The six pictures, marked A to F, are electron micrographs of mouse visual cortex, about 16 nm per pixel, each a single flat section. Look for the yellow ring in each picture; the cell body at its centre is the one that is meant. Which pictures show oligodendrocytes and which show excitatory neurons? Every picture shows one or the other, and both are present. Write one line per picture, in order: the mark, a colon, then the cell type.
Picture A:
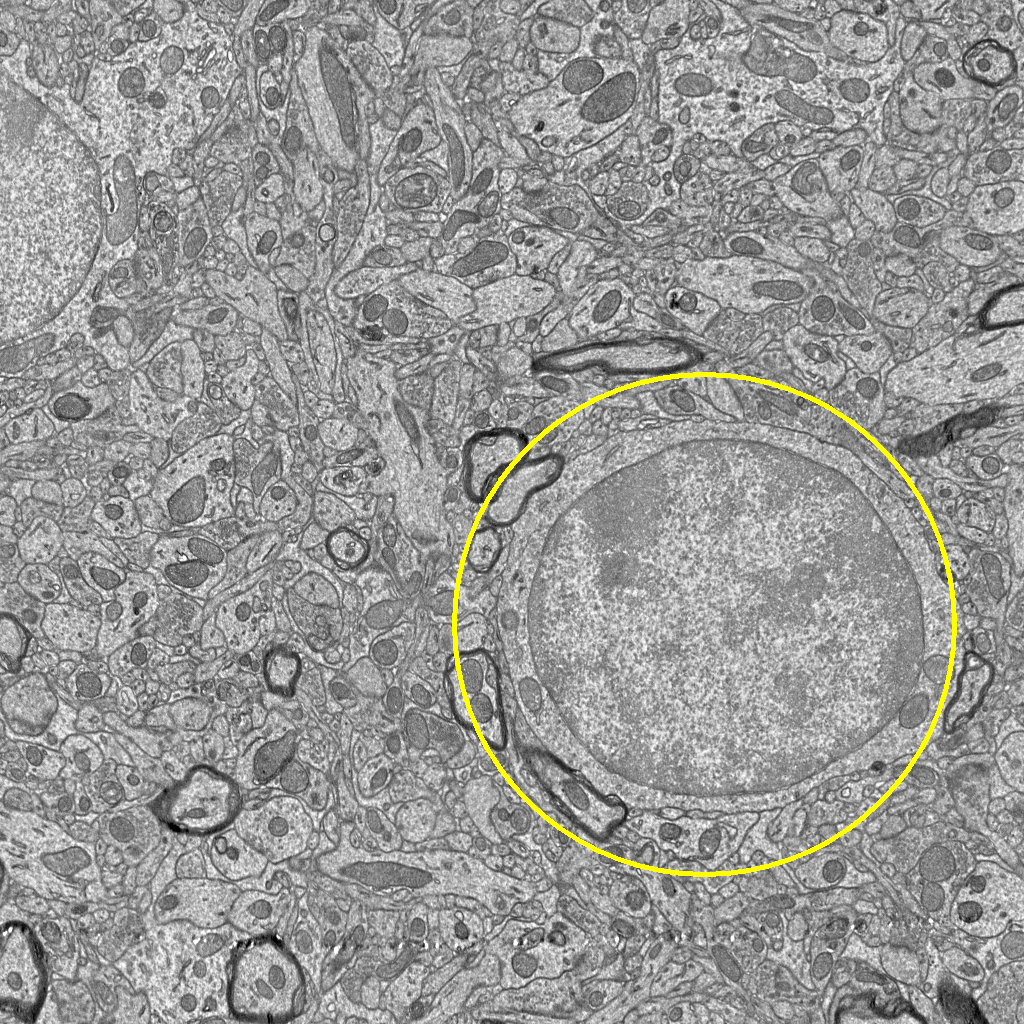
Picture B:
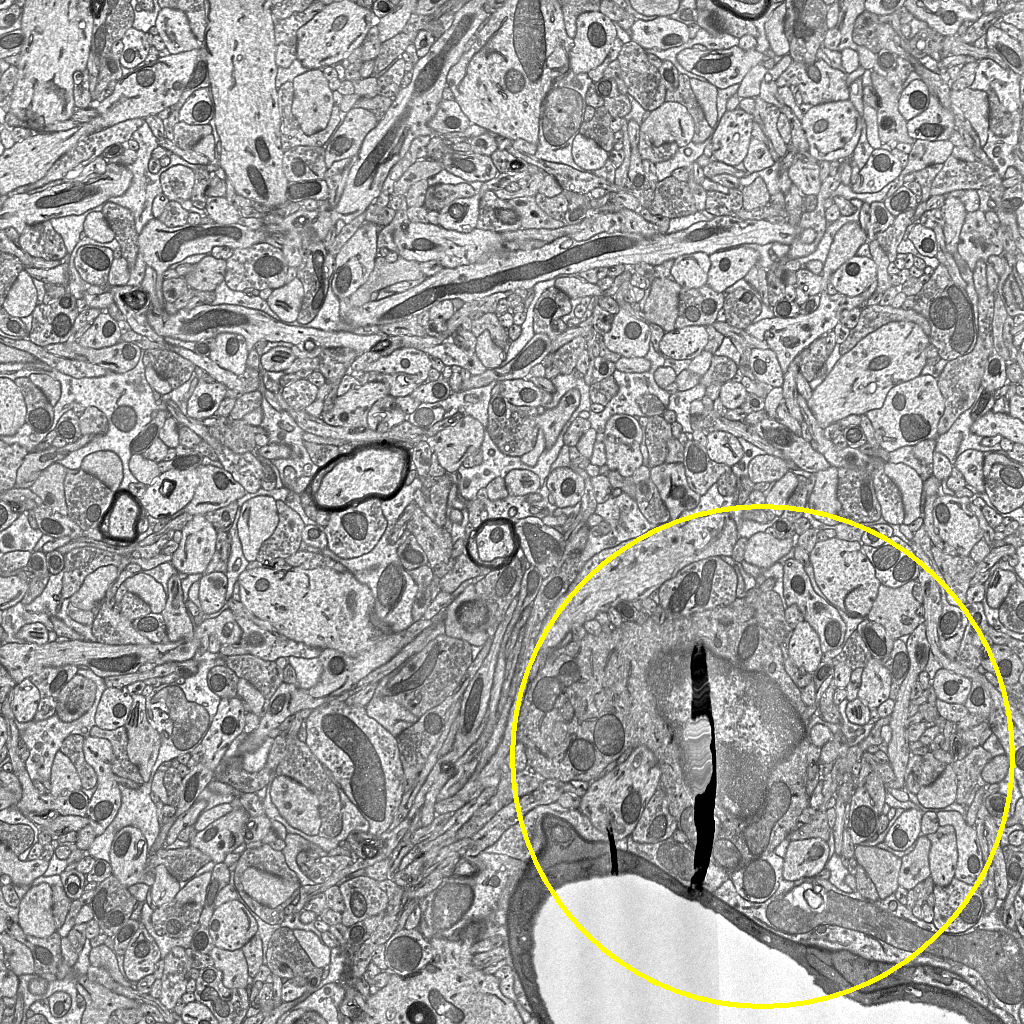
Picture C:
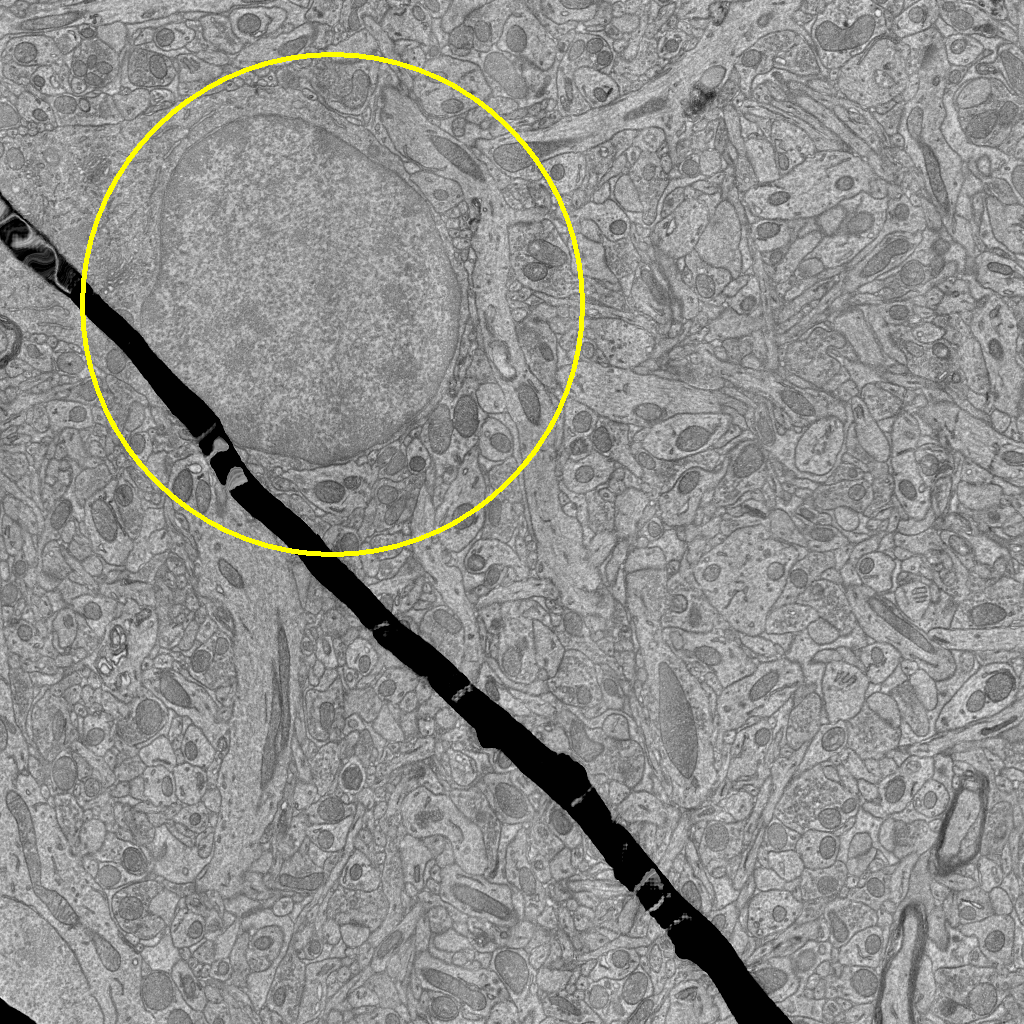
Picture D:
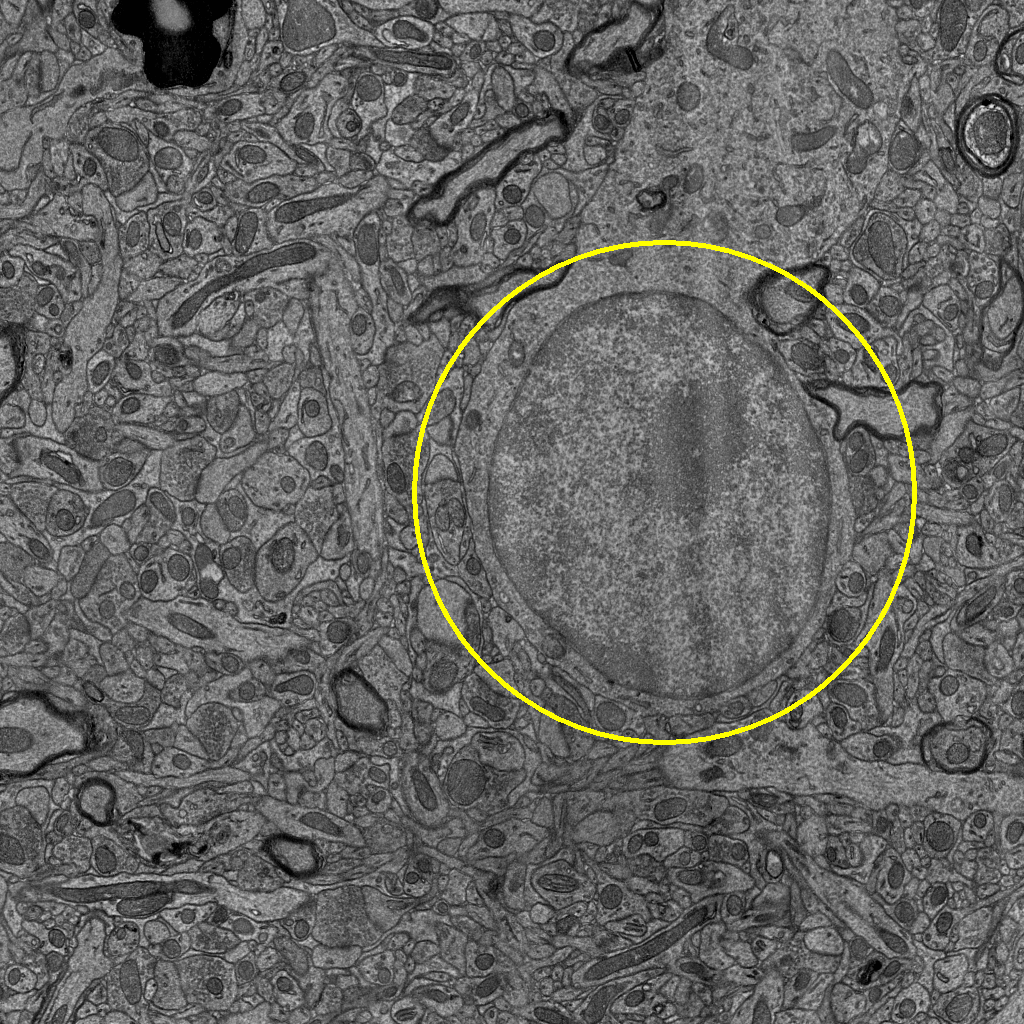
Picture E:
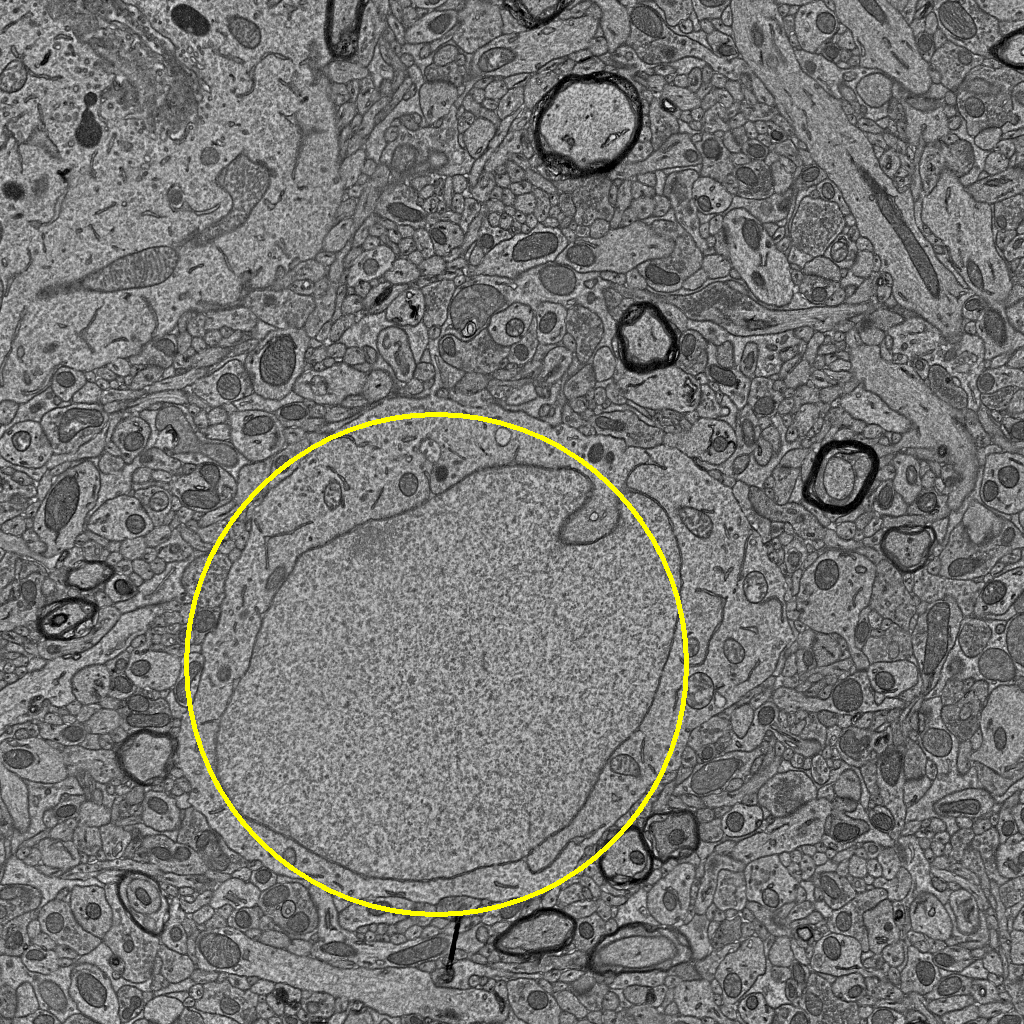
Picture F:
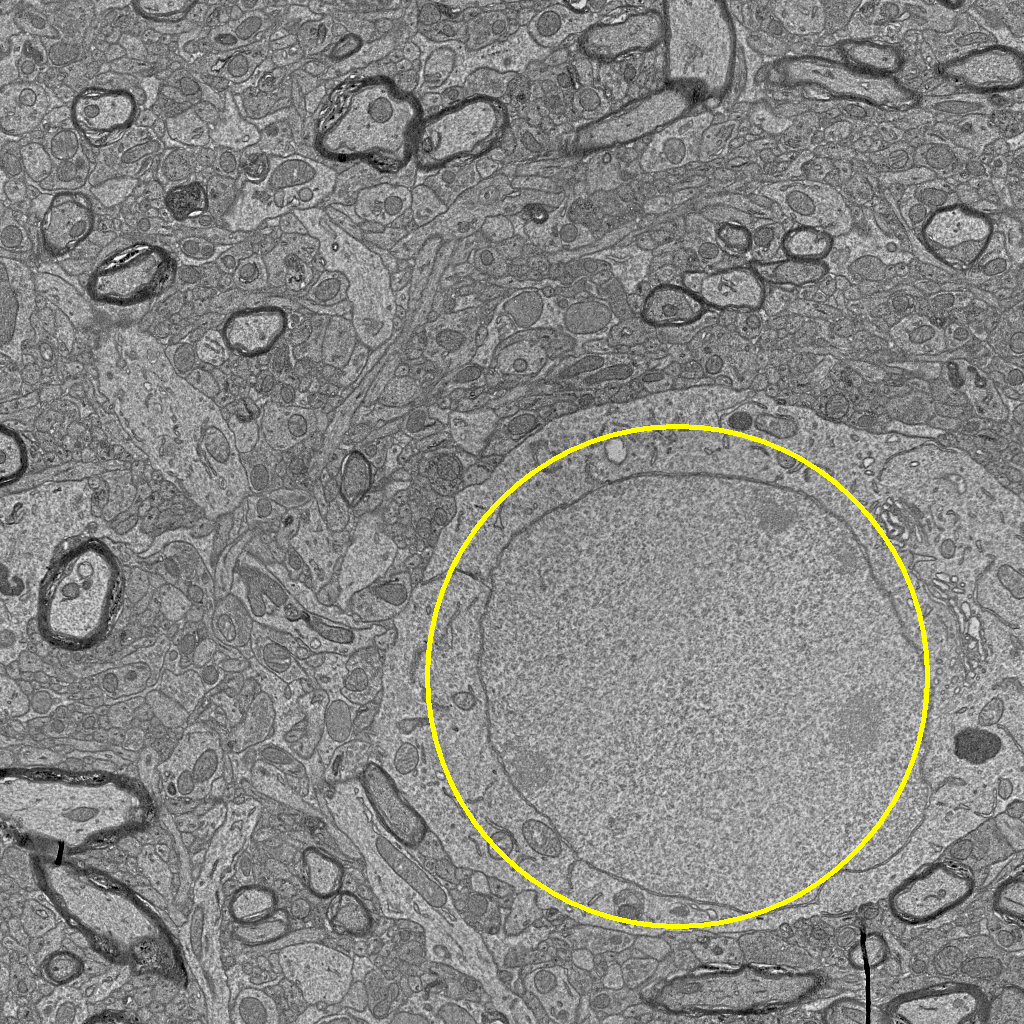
A: oligodendrocyte
B: oligodendrocyte
C: oligodendrocyte
D: oligodendrocyte
E: excitatory neuron
F: excitatory neuron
